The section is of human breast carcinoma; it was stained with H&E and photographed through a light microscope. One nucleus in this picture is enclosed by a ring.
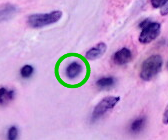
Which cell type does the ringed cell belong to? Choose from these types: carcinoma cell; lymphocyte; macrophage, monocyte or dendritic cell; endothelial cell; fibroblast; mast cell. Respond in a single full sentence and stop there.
In this tissue sample, the ringed cell is a lymphocyte.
